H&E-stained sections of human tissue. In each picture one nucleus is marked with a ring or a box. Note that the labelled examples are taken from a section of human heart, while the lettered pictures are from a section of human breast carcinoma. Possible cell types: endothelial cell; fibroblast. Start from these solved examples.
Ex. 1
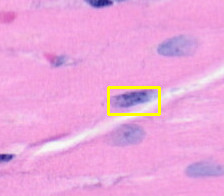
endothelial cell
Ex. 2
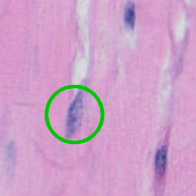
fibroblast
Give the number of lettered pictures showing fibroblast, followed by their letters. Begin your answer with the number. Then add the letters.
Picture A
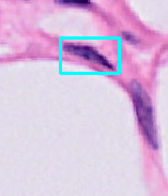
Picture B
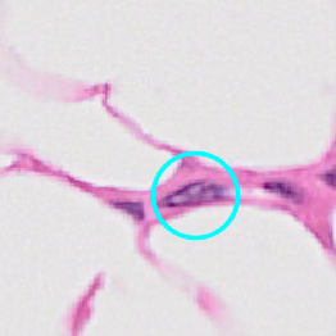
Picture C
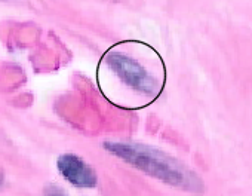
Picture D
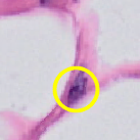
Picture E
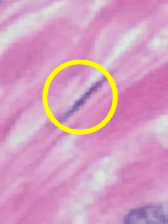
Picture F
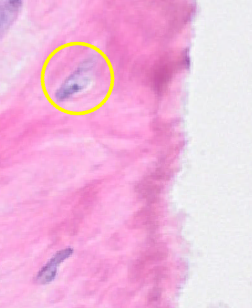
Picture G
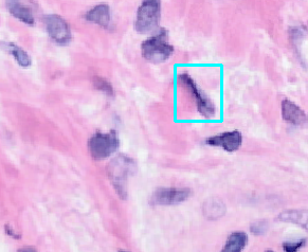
Count: 3 (E, F, G)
